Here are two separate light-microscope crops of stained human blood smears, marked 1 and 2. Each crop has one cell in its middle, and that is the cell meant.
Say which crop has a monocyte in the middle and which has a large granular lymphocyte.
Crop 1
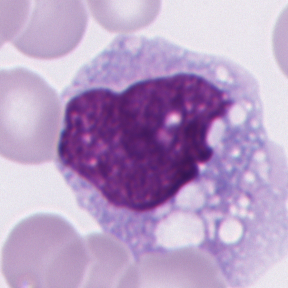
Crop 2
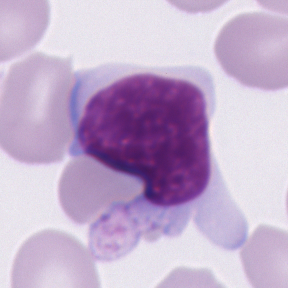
1: monocyte
2: large granular lymphocyte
